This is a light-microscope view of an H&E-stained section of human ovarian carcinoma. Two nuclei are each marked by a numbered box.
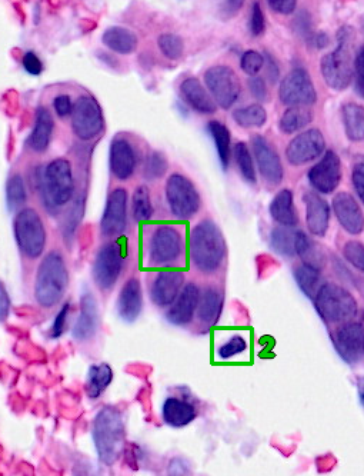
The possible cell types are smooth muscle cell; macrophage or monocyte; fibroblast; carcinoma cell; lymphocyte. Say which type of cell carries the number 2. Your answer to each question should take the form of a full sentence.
Corresponding to a lymphocyte is the cell labelled 2.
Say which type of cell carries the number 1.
In the marked set, the cell given number 1 is a carcinoma cell.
